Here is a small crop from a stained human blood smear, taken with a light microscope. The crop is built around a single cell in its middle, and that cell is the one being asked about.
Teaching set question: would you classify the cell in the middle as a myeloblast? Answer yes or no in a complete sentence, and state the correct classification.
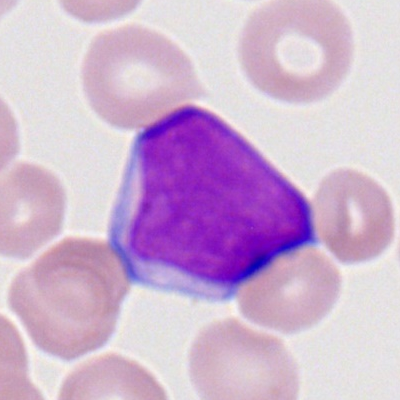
Yes, the cell in the middle of the view is a myeloblast.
